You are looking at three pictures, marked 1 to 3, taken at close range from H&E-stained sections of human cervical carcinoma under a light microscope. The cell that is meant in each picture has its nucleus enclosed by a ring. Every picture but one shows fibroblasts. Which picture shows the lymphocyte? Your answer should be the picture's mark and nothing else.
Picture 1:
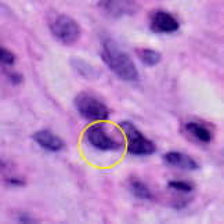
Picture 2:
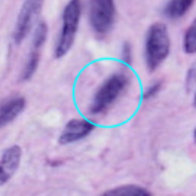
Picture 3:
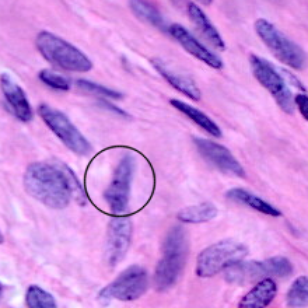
1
